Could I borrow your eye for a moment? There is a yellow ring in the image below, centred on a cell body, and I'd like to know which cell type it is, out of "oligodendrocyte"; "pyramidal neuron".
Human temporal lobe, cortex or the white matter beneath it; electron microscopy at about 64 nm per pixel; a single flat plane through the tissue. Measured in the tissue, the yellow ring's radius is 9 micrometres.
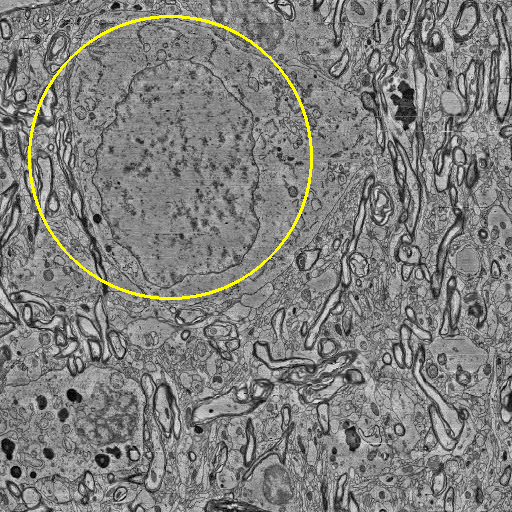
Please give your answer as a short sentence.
The cell body at the centre is that of a pyramidal neuron.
